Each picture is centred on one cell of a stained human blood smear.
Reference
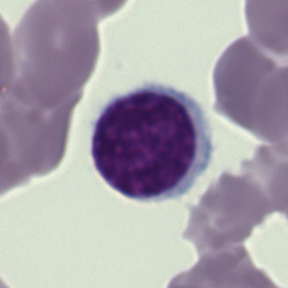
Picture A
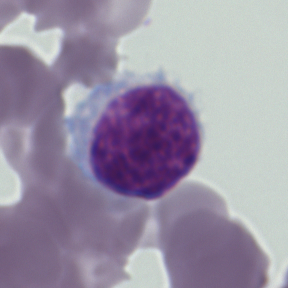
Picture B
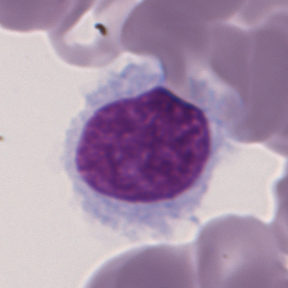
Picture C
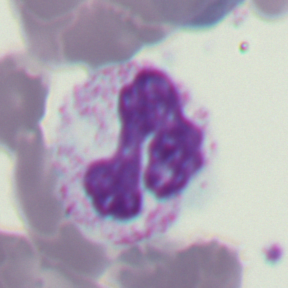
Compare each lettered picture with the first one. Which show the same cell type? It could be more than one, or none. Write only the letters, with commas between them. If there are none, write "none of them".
A, B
